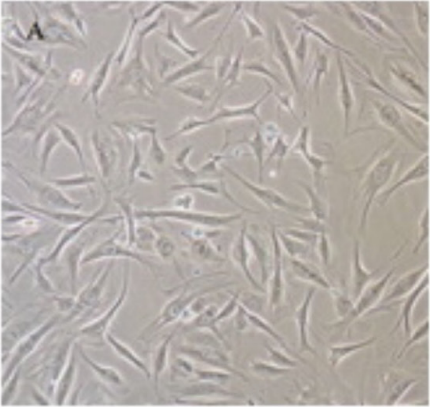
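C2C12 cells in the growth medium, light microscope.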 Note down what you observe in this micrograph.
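Subconfluent culture of single spindle-shaped and stellate cells seen in phase contrast. The cells lie in varied orientations with clear spaces of empty dish between them. A few small round, bright cells sit among the flattened ones.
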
